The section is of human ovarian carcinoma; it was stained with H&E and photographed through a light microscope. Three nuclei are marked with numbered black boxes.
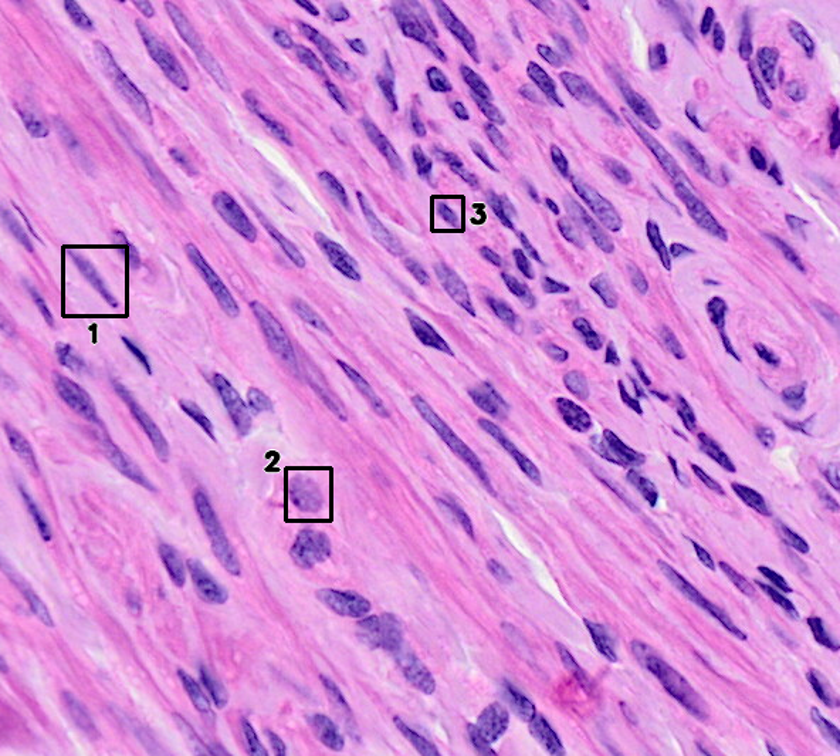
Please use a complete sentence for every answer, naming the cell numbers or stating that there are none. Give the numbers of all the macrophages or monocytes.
None of the cells indicated by numbers are macrophages or monocytes.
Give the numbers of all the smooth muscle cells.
Regarding the numbered cells 1 and 3, these are smooth muscle cells.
